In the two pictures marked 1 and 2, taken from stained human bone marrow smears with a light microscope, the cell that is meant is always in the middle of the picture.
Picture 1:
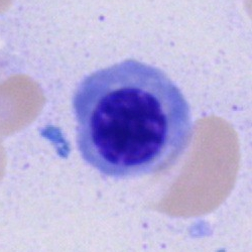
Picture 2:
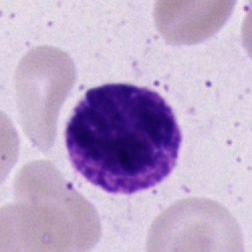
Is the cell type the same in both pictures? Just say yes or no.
no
